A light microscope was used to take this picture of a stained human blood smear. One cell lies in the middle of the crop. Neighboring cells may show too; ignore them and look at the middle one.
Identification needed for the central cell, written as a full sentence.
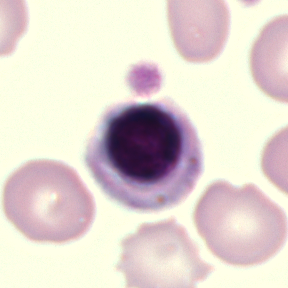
The cell in the middle of this crop is a normoblast.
